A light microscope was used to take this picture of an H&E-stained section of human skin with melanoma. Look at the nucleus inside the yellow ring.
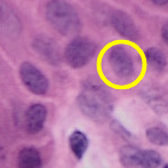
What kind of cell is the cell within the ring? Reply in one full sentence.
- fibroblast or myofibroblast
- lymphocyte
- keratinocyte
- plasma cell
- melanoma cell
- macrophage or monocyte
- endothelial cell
The cell type of the cell within the ring is that of a keratinocyte.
